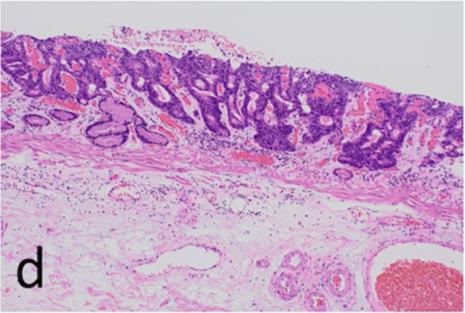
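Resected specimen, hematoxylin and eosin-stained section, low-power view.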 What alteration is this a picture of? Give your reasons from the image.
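The mucosal glands are crowded and vary in shape and size. Several glands are branched or fused. The gland nuclei are dark purple and crowded.
Conclusion: irregular and complex glands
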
